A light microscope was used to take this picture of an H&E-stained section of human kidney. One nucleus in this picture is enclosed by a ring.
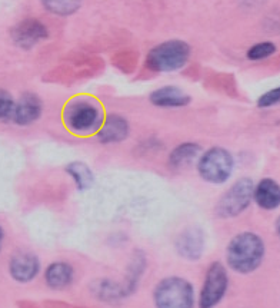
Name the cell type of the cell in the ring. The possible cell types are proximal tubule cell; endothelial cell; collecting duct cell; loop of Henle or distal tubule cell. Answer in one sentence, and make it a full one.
Speaking plainly, the cell in the ring is nothing other than a collecting duct cell.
